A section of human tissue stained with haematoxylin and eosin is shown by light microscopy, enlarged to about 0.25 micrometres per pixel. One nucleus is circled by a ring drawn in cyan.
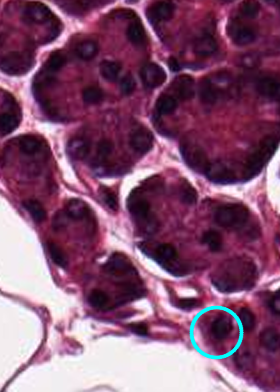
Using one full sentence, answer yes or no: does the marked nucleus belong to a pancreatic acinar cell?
Yes, the nucleus that has been marked is that of a pancreatic acinar cell.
